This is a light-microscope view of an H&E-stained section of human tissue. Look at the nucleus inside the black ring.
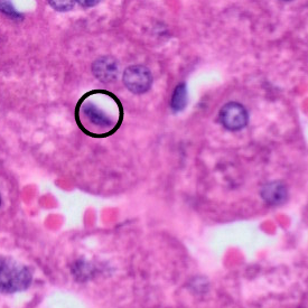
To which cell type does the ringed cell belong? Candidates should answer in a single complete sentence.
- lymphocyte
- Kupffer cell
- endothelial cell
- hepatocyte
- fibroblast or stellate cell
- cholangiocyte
Among the cells in this section, the ringed cell is a Kupffer cell.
